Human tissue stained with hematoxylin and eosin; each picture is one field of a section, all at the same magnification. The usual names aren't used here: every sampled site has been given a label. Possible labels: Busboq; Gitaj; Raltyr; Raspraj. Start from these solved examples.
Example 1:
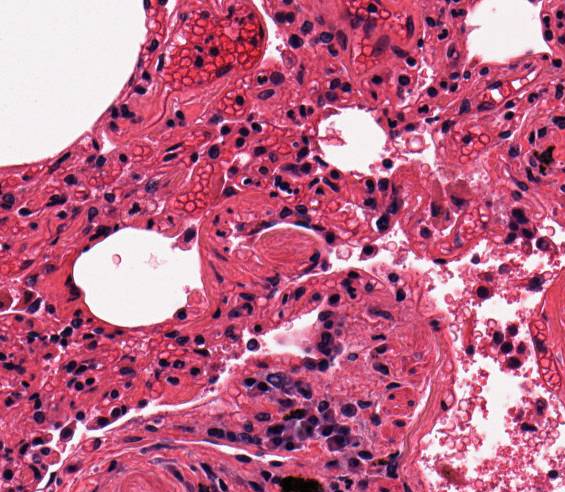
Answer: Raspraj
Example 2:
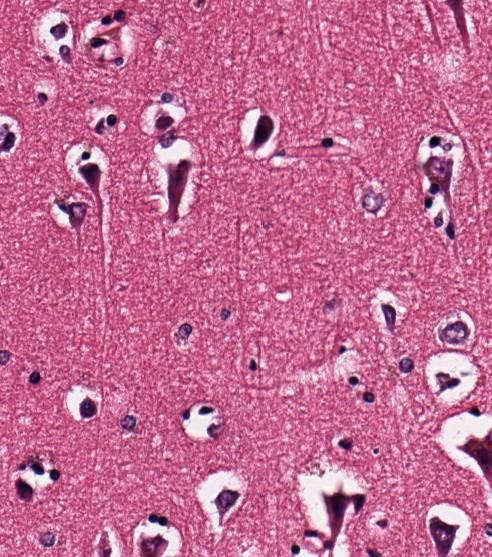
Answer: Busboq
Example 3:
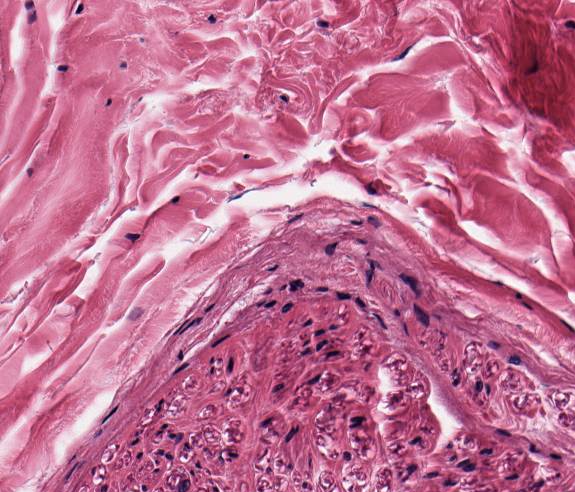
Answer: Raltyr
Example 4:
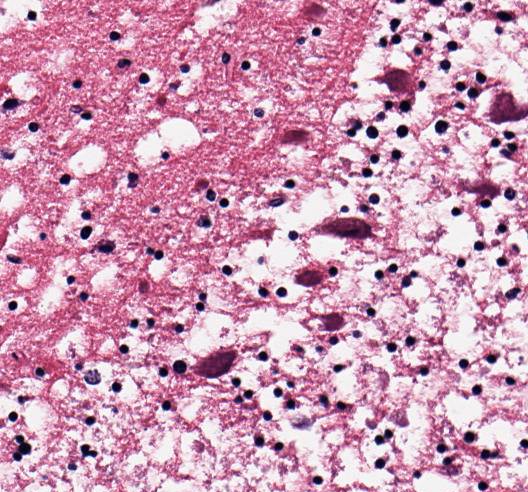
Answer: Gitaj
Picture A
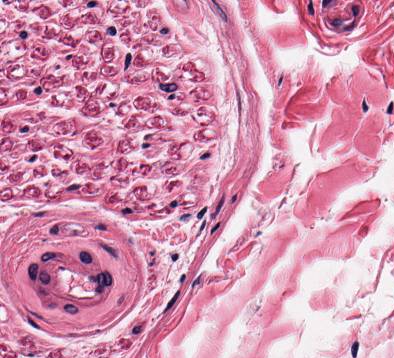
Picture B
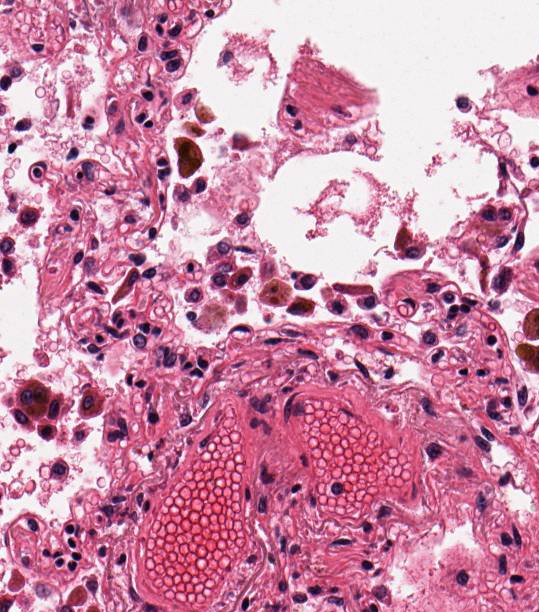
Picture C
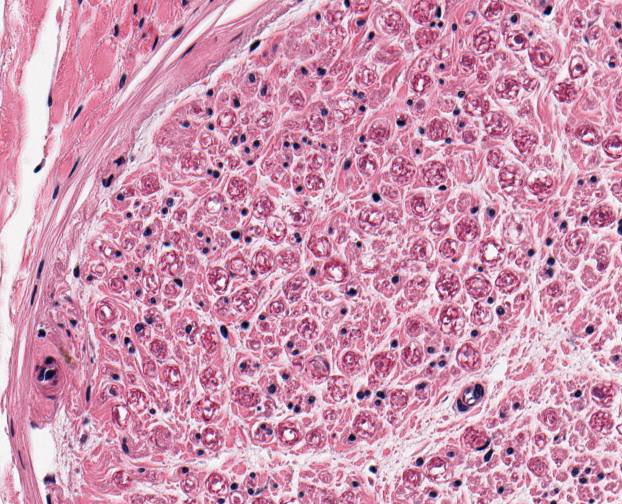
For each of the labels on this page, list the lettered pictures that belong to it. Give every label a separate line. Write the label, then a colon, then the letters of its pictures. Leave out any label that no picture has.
Raltyr: A, C
Raspraj: B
